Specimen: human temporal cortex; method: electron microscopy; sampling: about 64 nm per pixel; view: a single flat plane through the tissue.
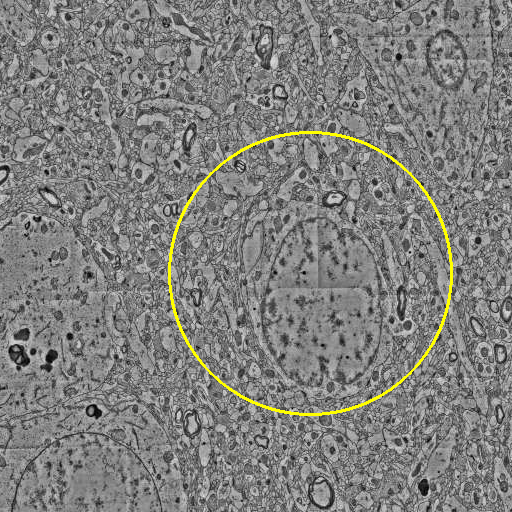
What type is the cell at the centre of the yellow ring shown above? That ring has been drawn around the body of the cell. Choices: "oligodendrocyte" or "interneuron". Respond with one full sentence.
My answer is that an interneuron lies at the centre of the yellow ring above.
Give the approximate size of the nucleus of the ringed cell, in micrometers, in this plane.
Roughly 11 by 8 micrometres in this plane, for the nucleus of the ringed cell.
